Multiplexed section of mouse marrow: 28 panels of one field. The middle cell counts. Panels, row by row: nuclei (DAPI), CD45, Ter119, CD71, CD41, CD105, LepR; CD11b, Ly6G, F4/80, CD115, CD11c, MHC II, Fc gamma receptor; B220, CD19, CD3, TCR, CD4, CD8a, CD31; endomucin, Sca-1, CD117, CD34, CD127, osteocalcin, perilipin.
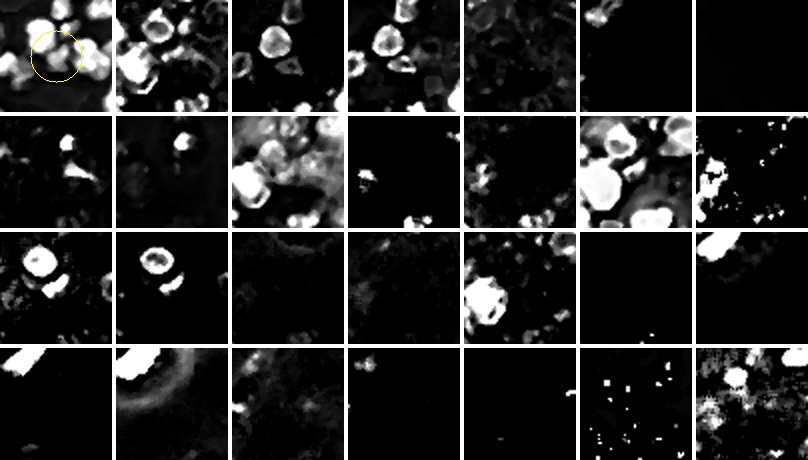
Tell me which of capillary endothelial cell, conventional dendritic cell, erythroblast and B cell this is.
The picture shows a B cell.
